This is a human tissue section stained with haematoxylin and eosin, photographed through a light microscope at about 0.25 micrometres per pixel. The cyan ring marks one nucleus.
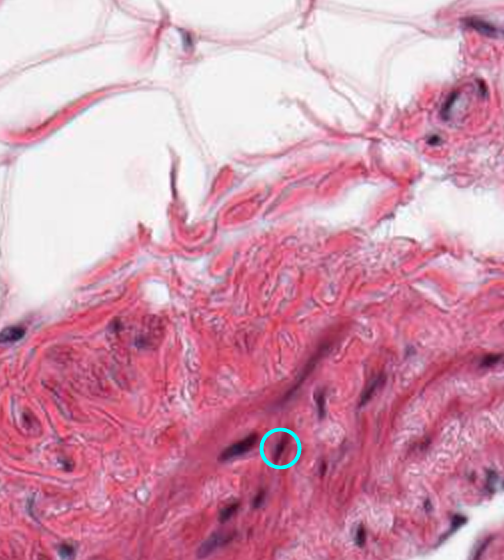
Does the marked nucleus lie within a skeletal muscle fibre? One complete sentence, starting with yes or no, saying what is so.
No, it is not a skeletal muscle fibre to which the marked nucleus belongs.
